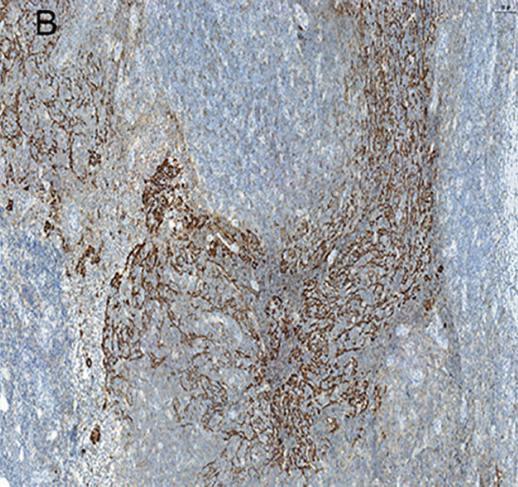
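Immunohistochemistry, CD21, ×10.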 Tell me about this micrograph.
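The meshwork is gathered in irregular nodular zones. Between these zones, densely packed lymphoid cells with blue-counterstained nuclei stay unstained.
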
